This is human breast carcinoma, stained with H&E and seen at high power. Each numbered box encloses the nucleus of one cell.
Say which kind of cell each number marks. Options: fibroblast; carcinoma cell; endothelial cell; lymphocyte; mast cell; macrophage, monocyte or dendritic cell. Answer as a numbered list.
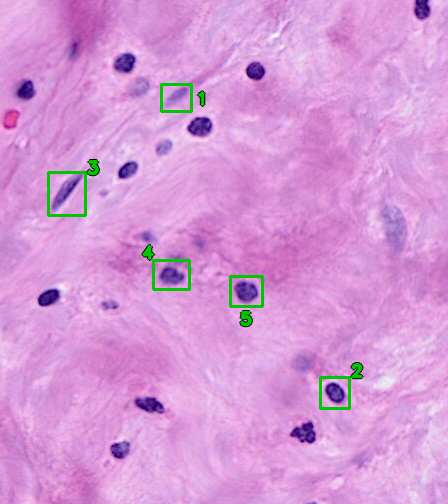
1. fibroblast
2. lymphocyte
3. fibroblast
4. lymphocyte
5. lymphocyte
